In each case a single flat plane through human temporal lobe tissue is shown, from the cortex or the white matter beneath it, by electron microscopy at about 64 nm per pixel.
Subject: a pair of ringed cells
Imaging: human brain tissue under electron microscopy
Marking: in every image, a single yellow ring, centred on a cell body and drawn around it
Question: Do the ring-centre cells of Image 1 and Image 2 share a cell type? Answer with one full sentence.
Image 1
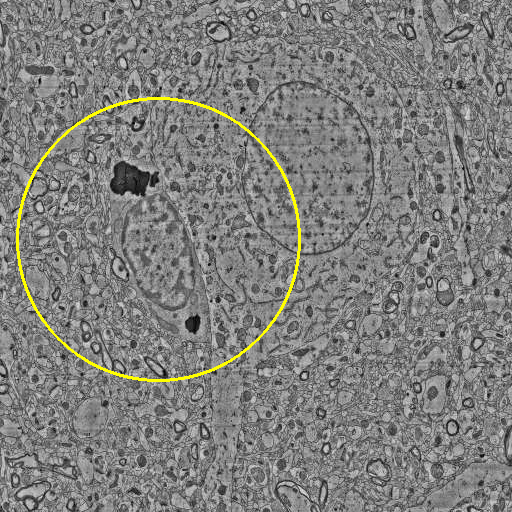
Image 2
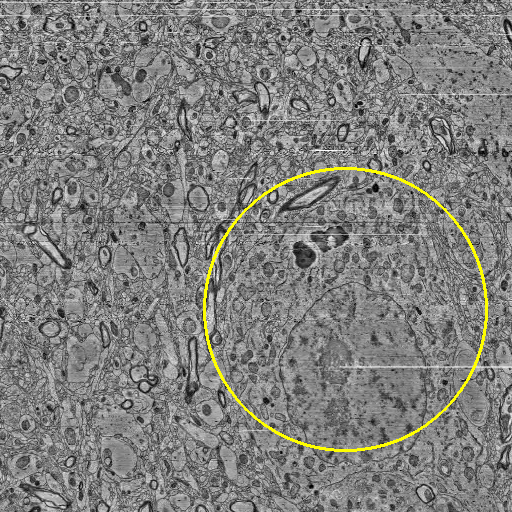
No, at the ring centres in the images sit cells of two separate types.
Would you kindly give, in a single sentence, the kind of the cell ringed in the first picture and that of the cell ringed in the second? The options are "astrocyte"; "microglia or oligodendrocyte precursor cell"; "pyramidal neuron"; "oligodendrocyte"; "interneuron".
The second cell is an interneuron, and the first cell is an oligodendrocyte.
